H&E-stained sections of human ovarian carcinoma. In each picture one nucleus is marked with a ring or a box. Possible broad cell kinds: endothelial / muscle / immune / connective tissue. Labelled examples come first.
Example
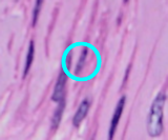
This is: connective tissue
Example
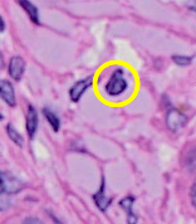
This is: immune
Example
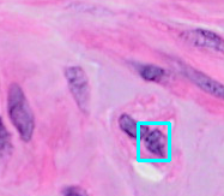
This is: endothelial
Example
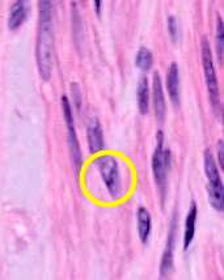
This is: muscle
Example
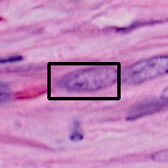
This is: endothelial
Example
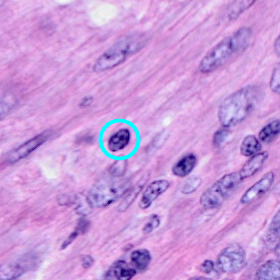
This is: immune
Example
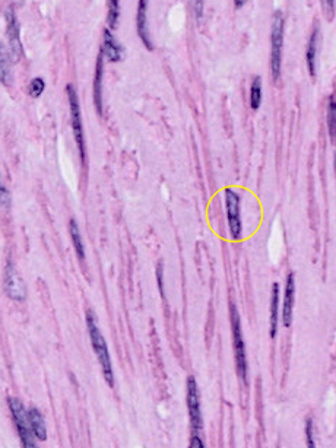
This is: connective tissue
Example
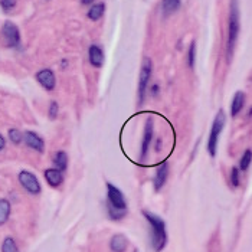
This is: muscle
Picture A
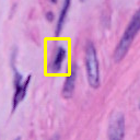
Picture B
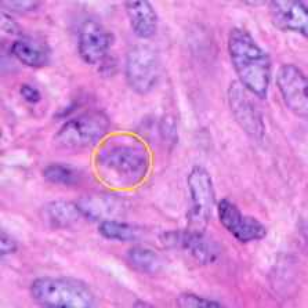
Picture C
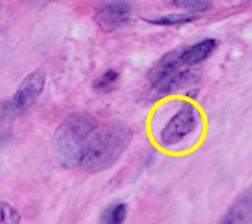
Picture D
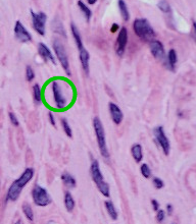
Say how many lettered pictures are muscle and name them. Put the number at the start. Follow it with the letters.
Count: 2 (A, D)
